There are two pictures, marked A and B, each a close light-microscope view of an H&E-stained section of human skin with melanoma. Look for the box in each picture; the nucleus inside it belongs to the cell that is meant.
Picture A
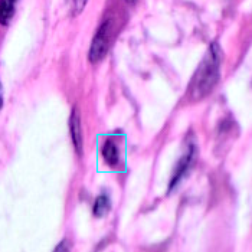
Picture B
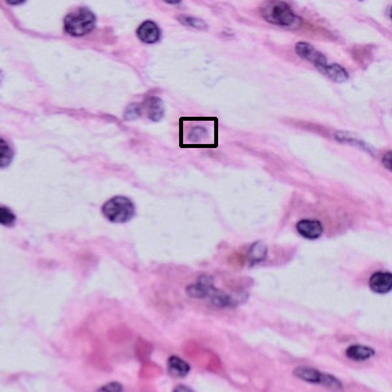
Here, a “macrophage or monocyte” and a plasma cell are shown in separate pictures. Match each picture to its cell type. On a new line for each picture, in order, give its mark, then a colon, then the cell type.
A: plasma cell
B: macrophage or monocyte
